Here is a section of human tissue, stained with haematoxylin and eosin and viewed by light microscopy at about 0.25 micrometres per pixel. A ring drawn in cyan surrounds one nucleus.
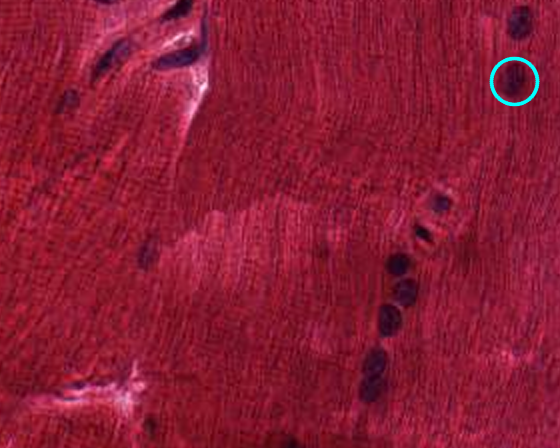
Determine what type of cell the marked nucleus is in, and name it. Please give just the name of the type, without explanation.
skeletal muscle fibre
